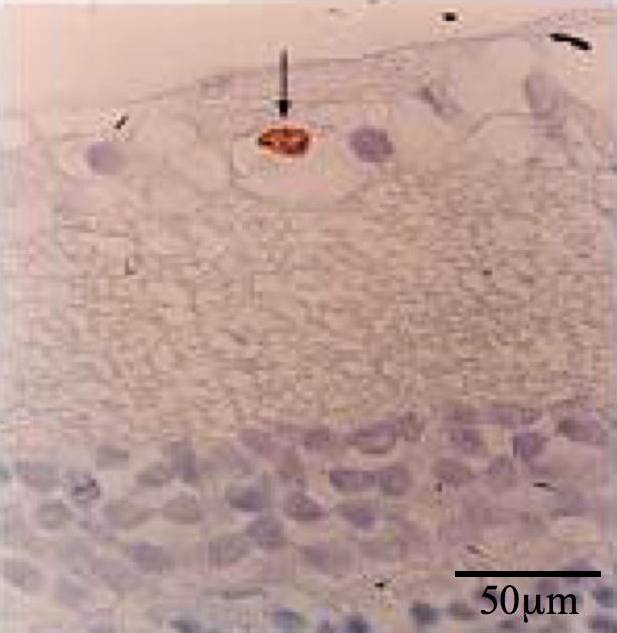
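This section of the inner retina shows the ganglion cell layer along its edge, with the inner layers beneath it. The ganglion cell layer is a single, sparse row of large, rounded, pale violet nuclei lying in clear cytoplasm. One of these nuclei is stained a strong red-brown. Beneath this row is a broad, pale, finely granular layer with no nuclei. Toward the bottom, oval blue-violet nuclei are crowded together in several tiers.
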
